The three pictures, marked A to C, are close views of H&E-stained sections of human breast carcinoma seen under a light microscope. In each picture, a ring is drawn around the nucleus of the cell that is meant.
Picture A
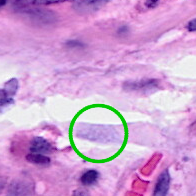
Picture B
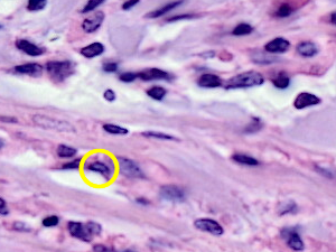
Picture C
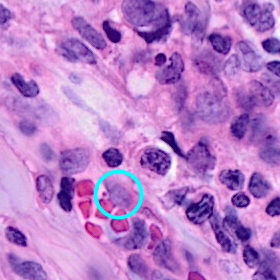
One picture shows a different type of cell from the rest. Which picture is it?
A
